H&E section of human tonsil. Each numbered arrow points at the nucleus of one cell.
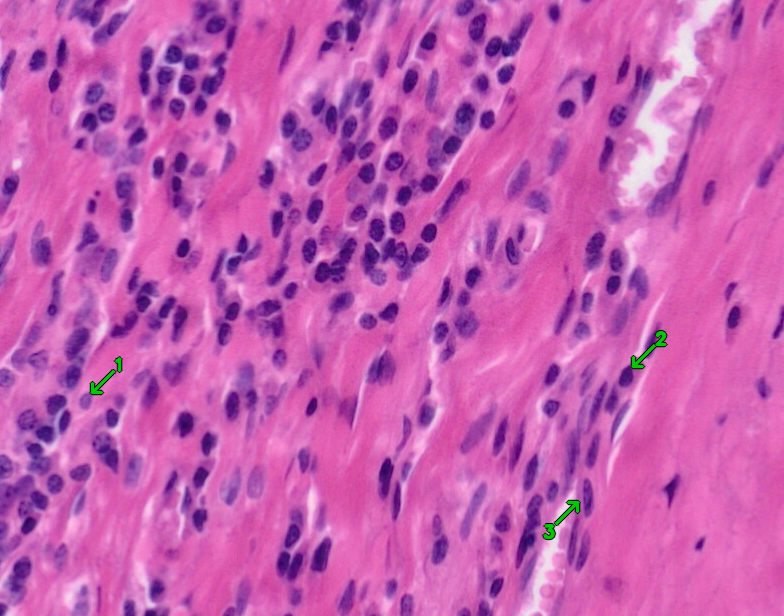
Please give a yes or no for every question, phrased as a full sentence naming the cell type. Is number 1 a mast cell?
Yes, the cell given number 1 is a mast cell.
